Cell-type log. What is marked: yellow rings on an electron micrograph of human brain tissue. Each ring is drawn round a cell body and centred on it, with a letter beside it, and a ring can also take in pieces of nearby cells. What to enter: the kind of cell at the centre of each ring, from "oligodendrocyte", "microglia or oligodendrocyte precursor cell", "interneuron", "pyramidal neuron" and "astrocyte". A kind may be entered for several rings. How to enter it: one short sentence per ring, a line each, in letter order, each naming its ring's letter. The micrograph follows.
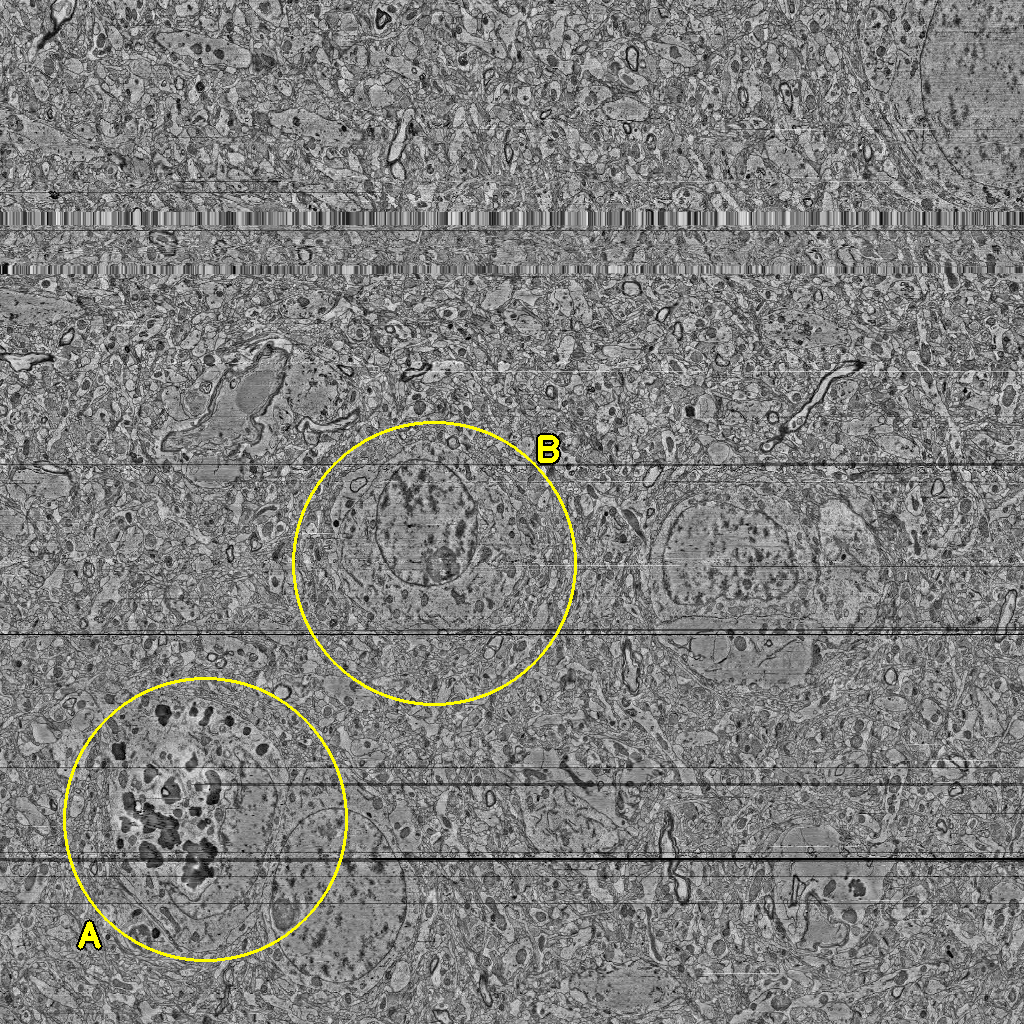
For ring A, the centre cell is an interneuron.
For ring B, the centre cell is a pyramidal neuron.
